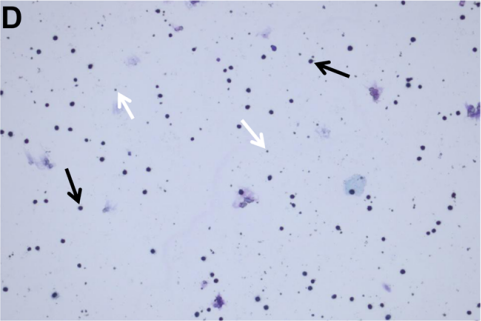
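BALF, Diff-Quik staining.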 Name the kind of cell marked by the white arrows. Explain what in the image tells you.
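The white arrows point to small, faint round cells. Larger dark purple round cells lie scattered around them.
Lymphocytes.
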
